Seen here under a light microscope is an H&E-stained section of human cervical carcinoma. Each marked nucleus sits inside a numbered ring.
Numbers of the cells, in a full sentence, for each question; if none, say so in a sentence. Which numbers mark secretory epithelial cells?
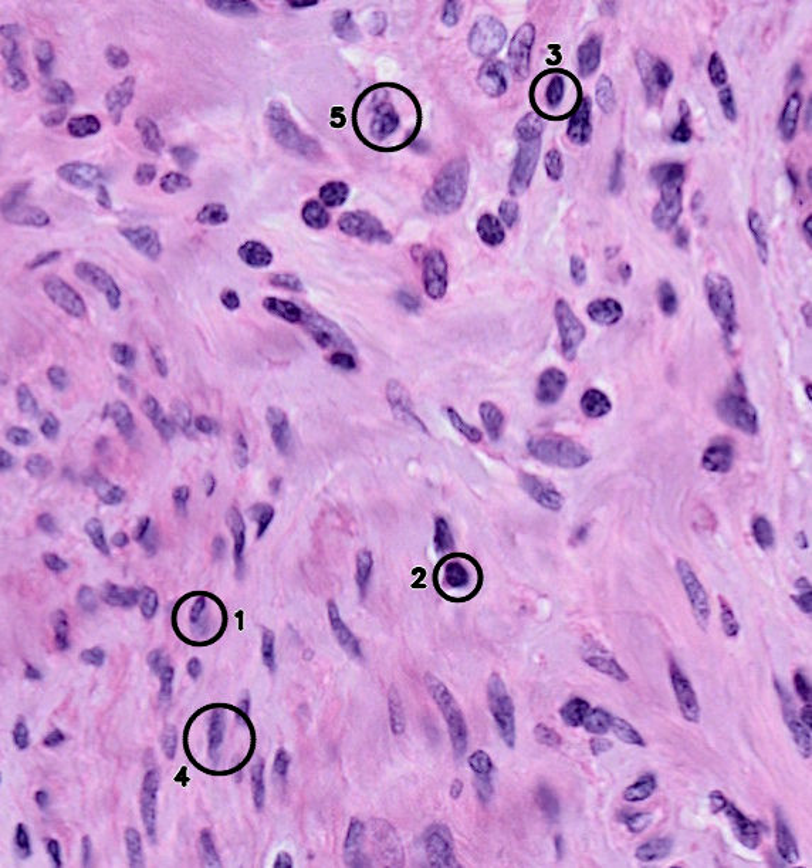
In short, secretory epithelial cells do not occur among the numbered cells.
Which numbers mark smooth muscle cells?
Only one choice fits: cell 1 is a smooth muscle cell, and no other.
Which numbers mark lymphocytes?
The cells with numbers 2, 3 and 5 are lymphocytes by type.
